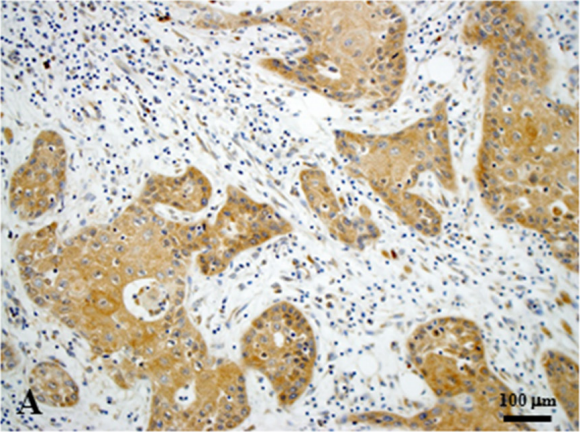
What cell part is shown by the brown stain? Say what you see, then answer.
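Brown colour fills the cell bodies of the tumour nests. Nuclei stay blue and largely unstained. The surrounding stroma is mostly unstained. That points to this answer: cytoplasm.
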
